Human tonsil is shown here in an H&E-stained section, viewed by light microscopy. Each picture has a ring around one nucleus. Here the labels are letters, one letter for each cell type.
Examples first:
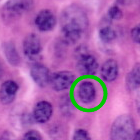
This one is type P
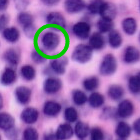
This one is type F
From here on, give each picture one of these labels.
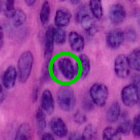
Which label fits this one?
type P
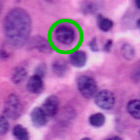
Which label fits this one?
type P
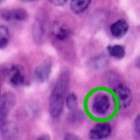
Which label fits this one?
type P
